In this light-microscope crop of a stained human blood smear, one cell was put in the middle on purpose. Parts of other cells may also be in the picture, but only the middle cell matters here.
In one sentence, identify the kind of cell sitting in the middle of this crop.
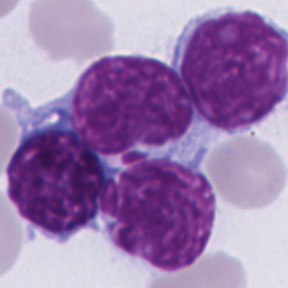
What sits at the centre of this crop is a myeloblast.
